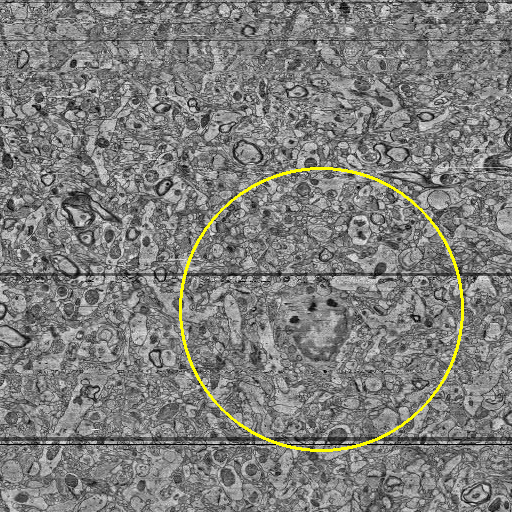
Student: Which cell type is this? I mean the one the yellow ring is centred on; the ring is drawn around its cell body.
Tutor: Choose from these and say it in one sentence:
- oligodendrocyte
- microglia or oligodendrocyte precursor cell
The cell the ring is centred on is an oligodendrocyte.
